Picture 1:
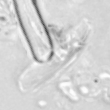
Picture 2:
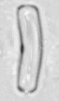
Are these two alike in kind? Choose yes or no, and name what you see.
Yes. Achnanthidium.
